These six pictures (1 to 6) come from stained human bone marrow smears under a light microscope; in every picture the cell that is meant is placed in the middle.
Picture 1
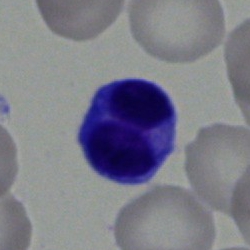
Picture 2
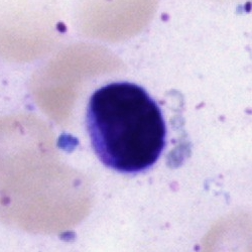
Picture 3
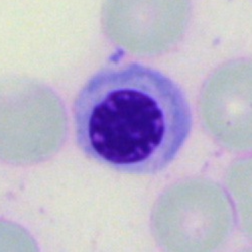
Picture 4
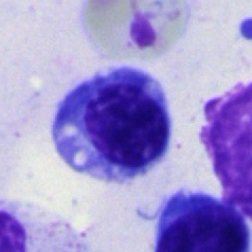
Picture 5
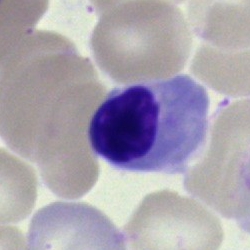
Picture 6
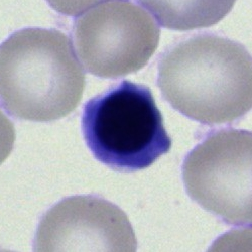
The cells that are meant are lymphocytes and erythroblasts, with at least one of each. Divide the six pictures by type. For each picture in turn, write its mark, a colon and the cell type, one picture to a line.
1: lymphocyte
2: lymphocyte
3: erythroblast
4: erythroblast
5: erythroblast
6: erythroblast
